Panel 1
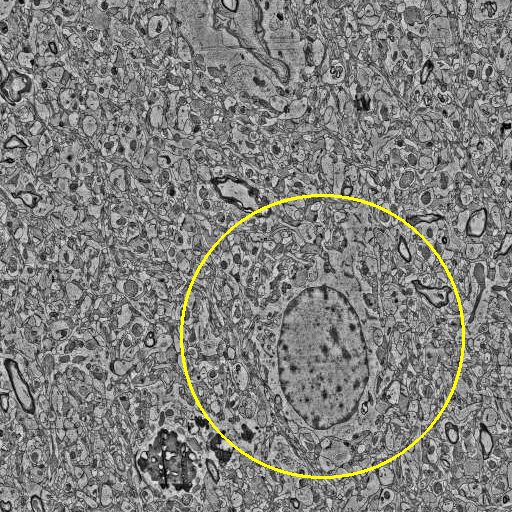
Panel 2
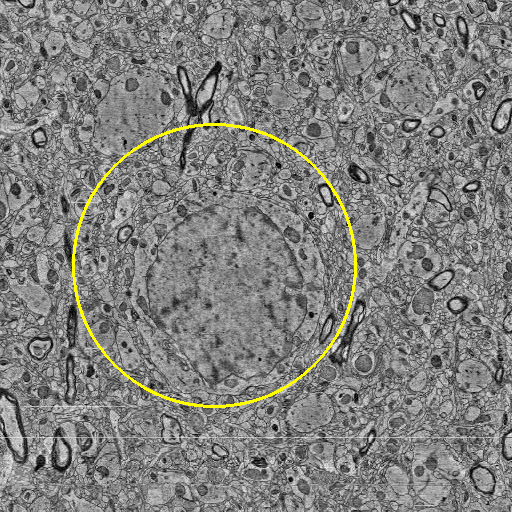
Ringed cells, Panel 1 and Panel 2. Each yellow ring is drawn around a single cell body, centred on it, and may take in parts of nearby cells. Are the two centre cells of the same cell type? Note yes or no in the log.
no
